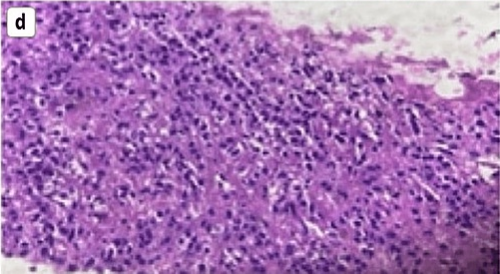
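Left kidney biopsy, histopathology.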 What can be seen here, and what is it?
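The cells lie closely packed in disordered sheets with scant pink cytoplasm between the nuclei. Toward the upper right the core ends in paler, pink, less cellular material at the edge of the tissue.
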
